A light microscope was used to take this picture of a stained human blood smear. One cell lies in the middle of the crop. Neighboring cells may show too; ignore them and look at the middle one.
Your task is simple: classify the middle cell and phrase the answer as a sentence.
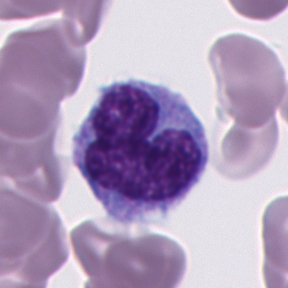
Here the cell in the middle is a monocyte.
